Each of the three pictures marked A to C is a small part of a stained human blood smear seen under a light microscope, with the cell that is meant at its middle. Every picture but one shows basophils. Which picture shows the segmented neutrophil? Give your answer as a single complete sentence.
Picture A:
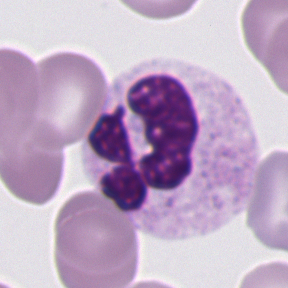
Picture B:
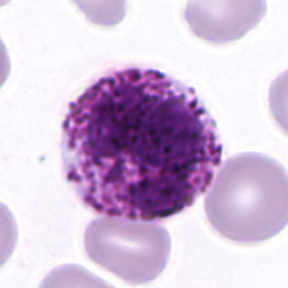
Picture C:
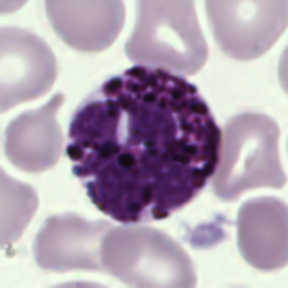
Picture A is the one that shows the segmented neutrophil.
